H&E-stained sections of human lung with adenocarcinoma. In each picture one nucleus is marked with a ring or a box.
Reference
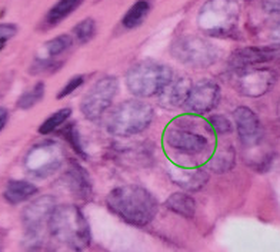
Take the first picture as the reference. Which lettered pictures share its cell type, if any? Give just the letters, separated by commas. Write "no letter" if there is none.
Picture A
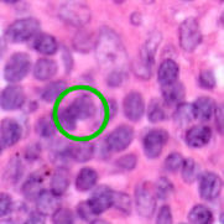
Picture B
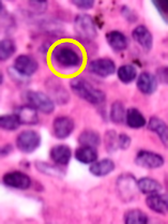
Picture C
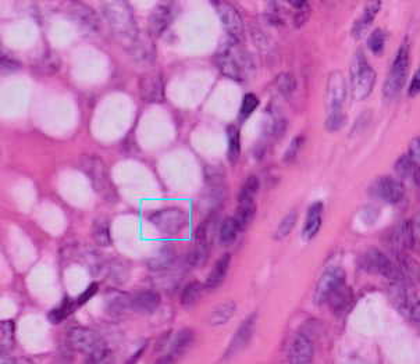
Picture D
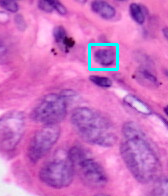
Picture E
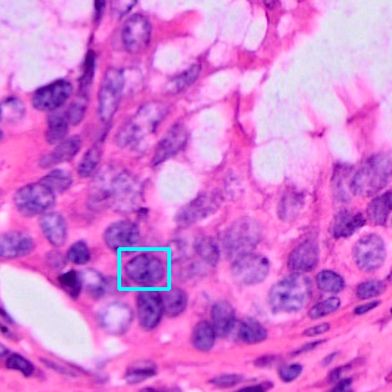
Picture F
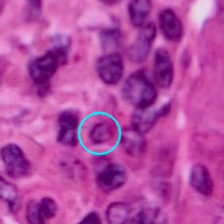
C, E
